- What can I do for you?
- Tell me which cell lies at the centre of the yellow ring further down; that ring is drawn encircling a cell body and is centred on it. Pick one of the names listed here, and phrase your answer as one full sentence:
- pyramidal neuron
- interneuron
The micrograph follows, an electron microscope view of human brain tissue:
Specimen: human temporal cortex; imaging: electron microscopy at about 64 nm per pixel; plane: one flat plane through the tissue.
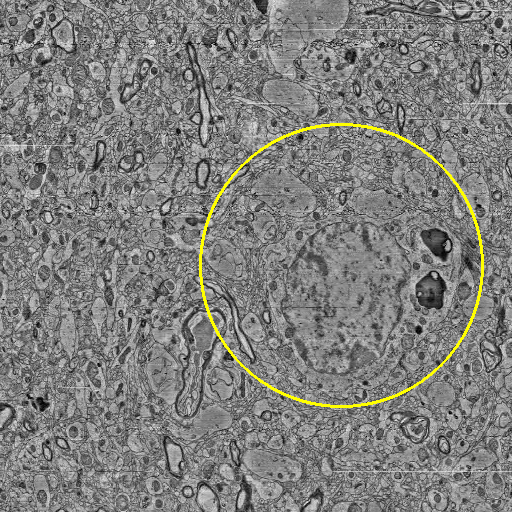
The cell whose body lies at the centre of the yellow ring is an interneuron.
